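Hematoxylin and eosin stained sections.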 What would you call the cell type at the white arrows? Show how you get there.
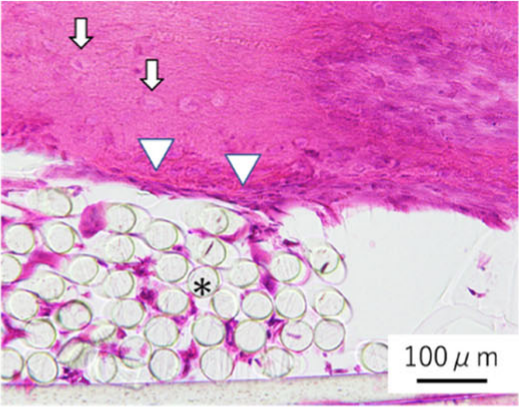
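Osteocytes. The arrows point at small cells sitting in pale spaces inside pink matrix. These cells are scattered and enclosed by the matrix.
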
